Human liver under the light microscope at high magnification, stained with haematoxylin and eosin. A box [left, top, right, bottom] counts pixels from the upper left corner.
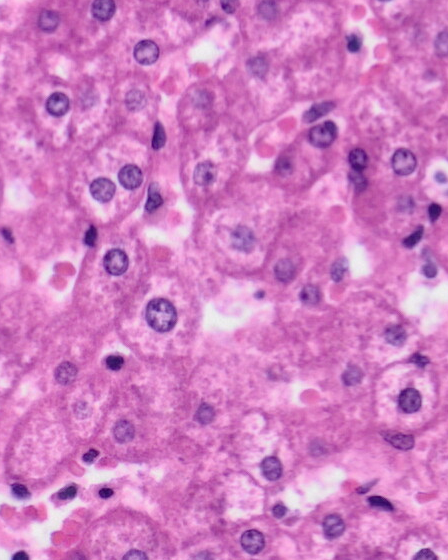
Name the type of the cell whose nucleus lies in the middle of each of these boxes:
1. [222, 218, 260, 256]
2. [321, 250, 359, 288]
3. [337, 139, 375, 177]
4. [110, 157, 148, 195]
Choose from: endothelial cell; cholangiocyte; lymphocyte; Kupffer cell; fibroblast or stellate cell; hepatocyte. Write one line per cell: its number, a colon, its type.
1: hepatocyte
2: Kupffer cell
3: hepatocyte
4: hepatocyte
